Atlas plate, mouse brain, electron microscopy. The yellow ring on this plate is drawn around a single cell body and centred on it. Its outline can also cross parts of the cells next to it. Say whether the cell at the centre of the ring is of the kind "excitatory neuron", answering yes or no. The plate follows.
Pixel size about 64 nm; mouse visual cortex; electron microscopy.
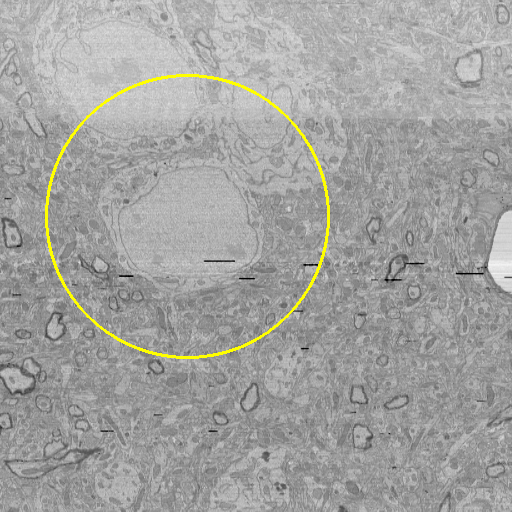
Yes, the cell is of that kind.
